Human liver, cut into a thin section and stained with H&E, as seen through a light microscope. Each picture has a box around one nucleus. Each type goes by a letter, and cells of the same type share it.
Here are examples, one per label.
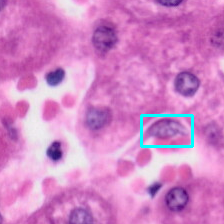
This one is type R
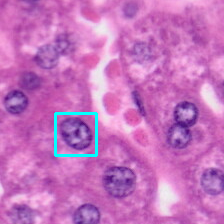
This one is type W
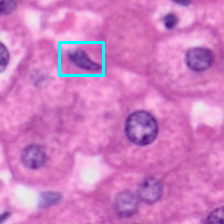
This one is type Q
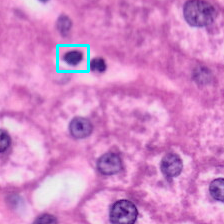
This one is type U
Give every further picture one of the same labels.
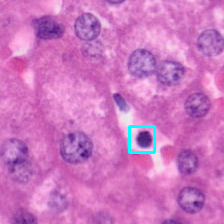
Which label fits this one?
type U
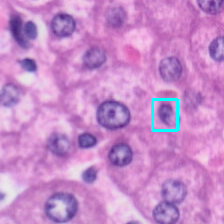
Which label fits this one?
type R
